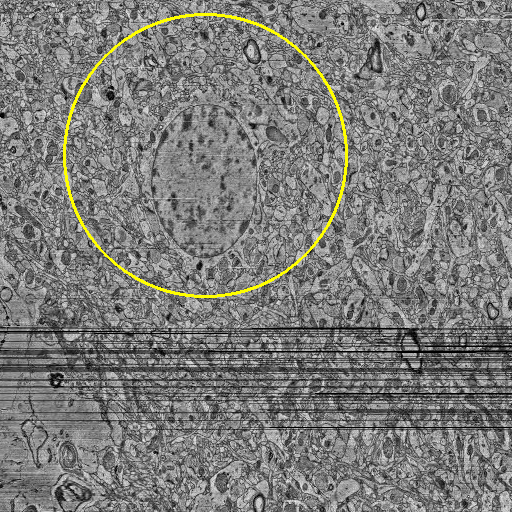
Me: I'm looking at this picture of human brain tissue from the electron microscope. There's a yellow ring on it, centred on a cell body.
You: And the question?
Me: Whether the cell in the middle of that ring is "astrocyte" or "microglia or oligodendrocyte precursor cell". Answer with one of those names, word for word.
astrocyte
